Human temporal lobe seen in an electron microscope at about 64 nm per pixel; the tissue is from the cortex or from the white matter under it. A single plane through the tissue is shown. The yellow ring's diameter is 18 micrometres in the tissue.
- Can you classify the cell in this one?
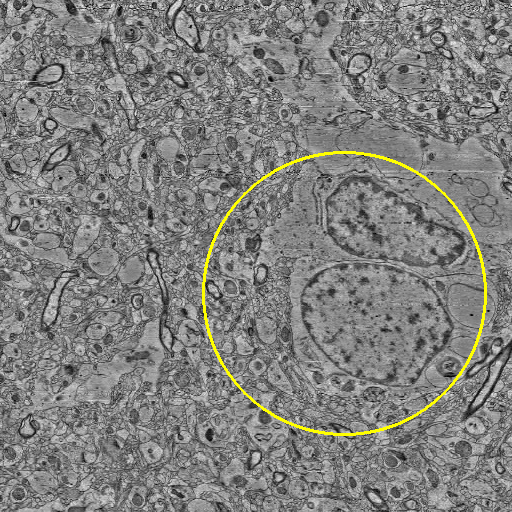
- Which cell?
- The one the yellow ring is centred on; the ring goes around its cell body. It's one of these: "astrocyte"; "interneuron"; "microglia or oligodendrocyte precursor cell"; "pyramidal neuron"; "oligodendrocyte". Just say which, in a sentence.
The cell body in the ring belongs to an astrocyte.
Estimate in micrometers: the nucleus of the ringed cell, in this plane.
About 10 by 8 micrometers for the nucleus, in this plane.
